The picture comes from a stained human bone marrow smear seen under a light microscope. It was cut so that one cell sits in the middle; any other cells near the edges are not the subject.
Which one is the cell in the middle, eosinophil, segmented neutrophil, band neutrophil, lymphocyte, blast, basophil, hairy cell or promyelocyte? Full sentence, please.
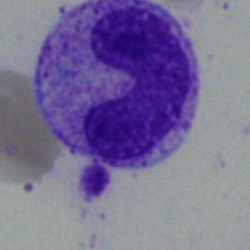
The crop's centre is taken up by a band neutrophil.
